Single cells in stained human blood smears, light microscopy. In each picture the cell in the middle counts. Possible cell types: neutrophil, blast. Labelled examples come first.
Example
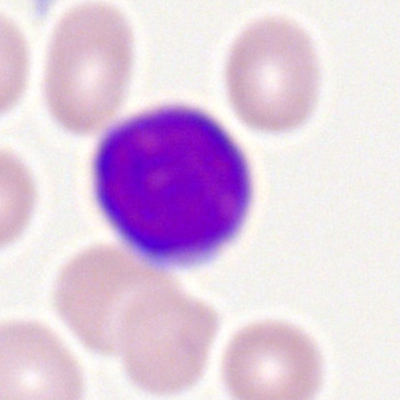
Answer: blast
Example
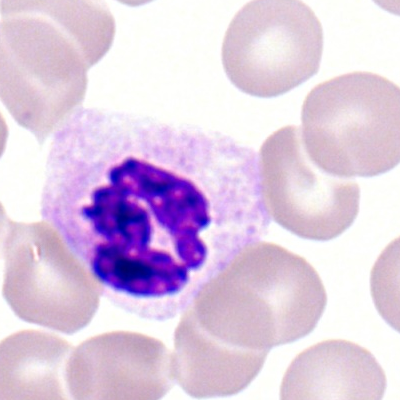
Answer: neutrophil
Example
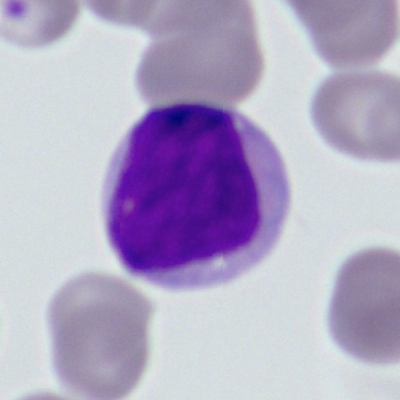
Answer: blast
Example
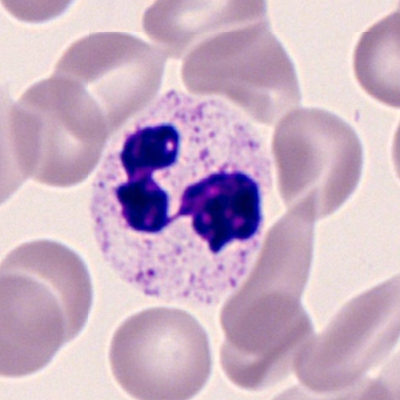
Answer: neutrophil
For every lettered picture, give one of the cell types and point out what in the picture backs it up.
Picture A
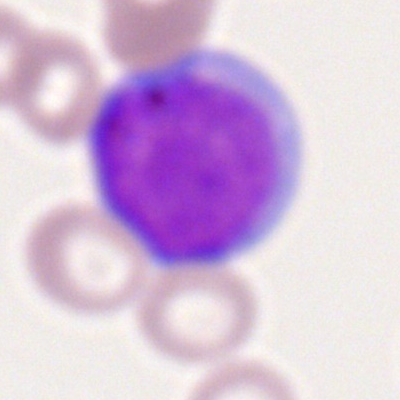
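blast. The nucleus fills most of the cell.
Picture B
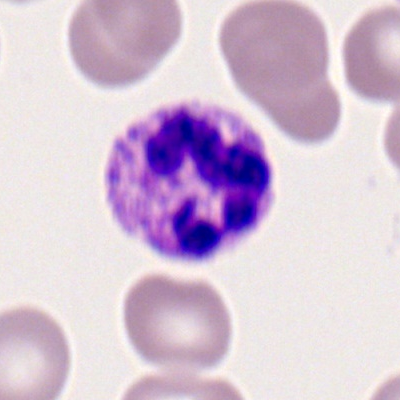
neutrophil. The nucleus is divided into several lobes.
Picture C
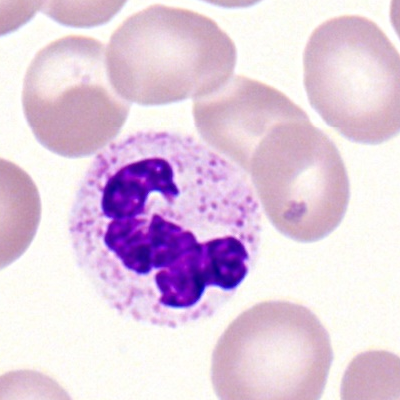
neutrophil. The cytoplasm is abundant and pale pink.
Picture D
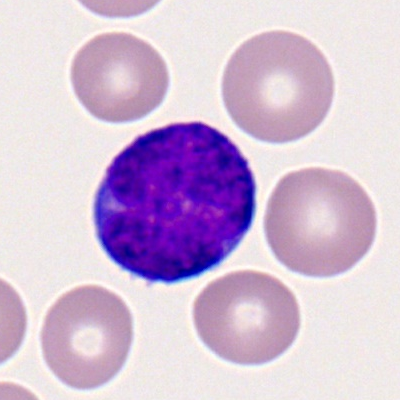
blast. The nucleus fills almost the whole cell.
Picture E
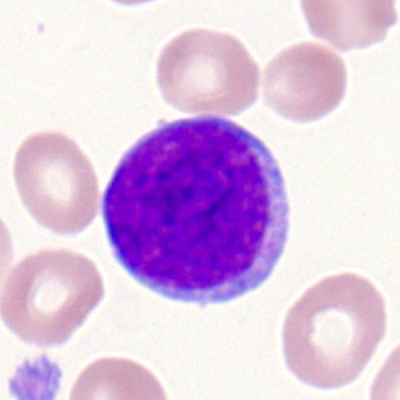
blast. The cytoplasm forms only a thin rim around the nucleus.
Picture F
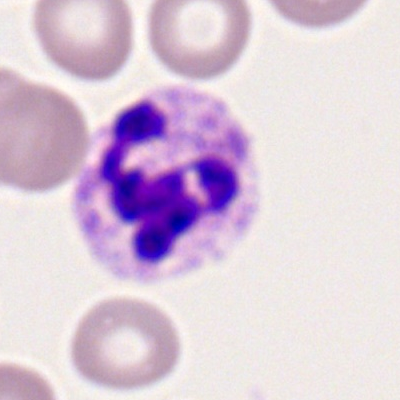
neutrophil. The cytoplasm is plentiful and pale pink.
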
